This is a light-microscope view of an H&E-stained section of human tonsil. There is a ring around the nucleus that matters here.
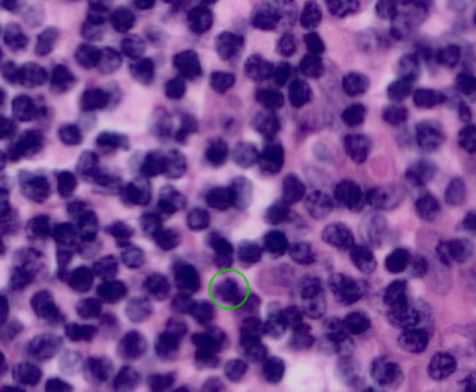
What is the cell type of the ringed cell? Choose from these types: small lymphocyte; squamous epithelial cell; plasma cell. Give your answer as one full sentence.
This is a small lymphocyte.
